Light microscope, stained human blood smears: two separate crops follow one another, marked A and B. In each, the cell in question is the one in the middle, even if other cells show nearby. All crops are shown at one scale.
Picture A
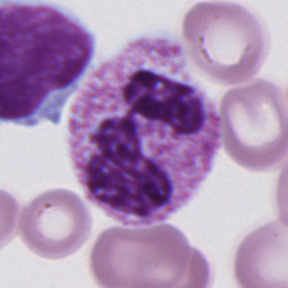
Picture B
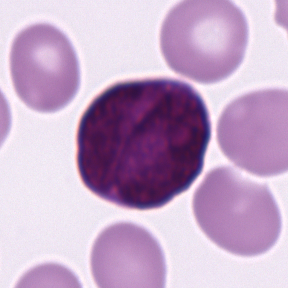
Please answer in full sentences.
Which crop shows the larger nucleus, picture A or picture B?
Picture B shows the larger nucleus; it covers about 1.5 times the area of the nucleus in picture A.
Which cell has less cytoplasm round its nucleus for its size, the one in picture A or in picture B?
In picture B the nucleus takes up the larger part of its cell.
